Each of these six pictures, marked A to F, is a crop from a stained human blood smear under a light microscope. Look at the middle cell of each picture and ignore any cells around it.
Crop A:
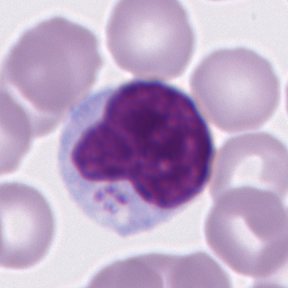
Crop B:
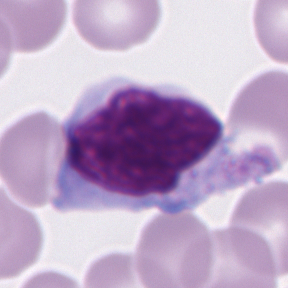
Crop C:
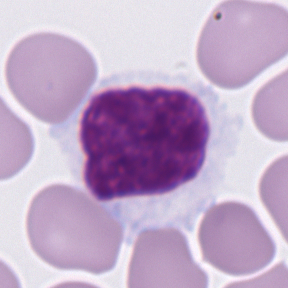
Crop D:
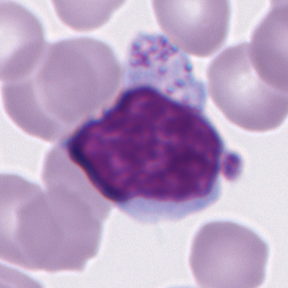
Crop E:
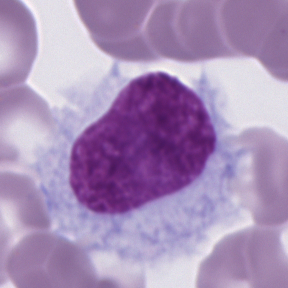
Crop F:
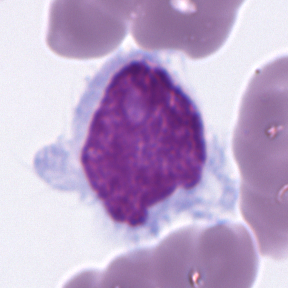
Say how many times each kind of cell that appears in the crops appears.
large granular lymphocyte: 3
hairy cell: 3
